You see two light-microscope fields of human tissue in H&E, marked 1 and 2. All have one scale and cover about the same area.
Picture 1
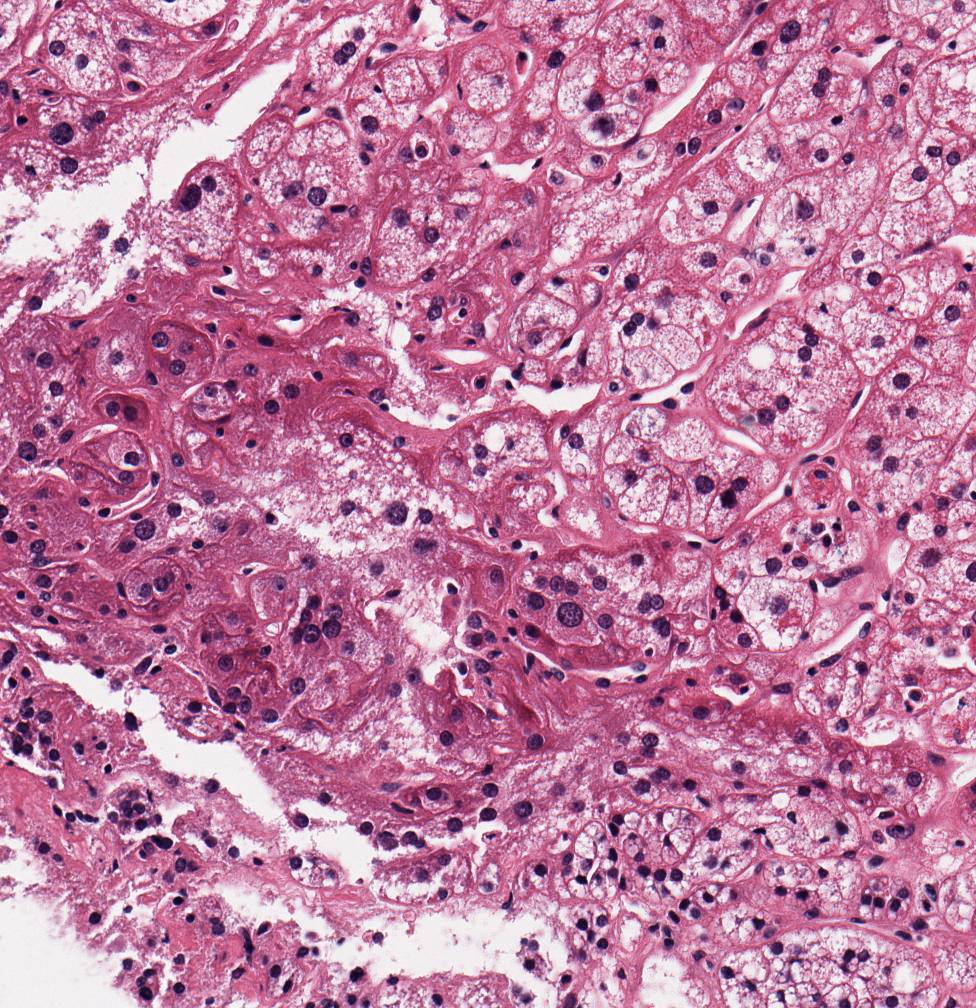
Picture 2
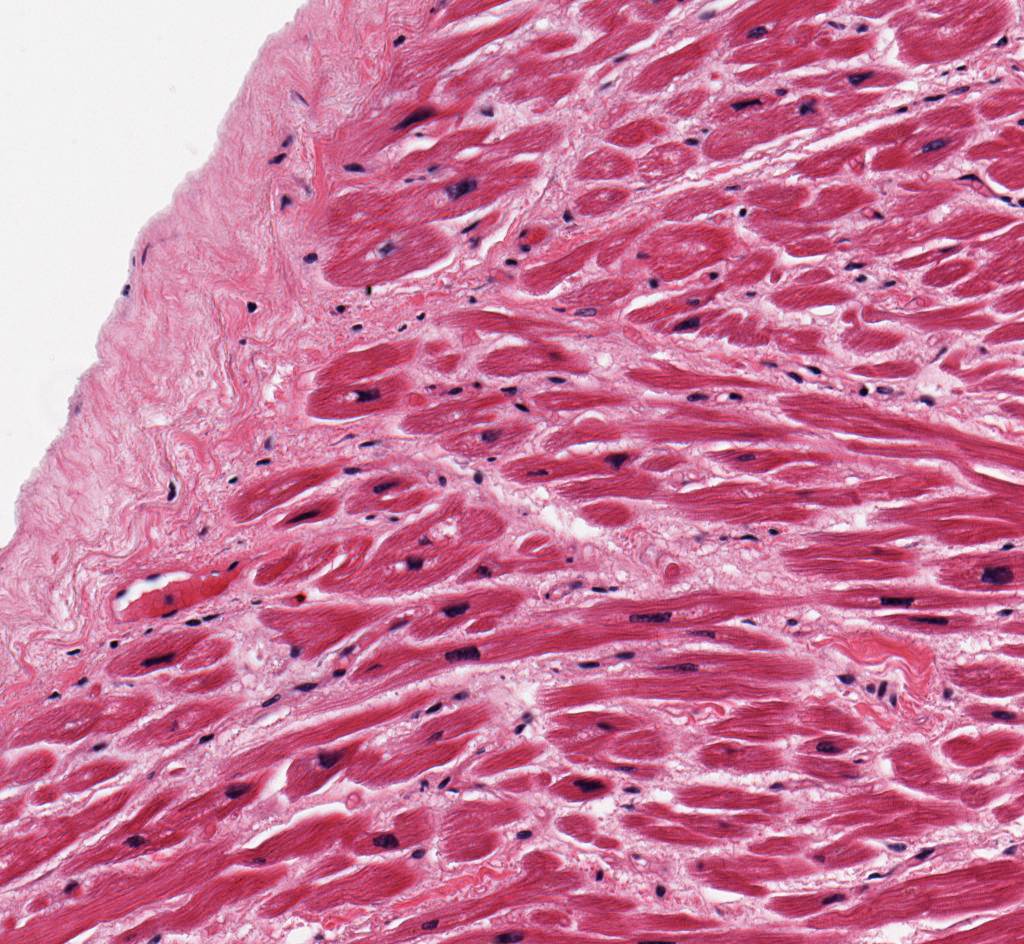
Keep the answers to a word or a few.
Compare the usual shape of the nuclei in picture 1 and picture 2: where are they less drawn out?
1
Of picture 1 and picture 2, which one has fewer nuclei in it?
2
